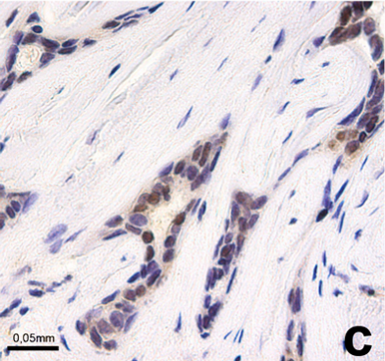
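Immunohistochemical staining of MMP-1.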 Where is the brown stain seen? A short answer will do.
Nuclear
